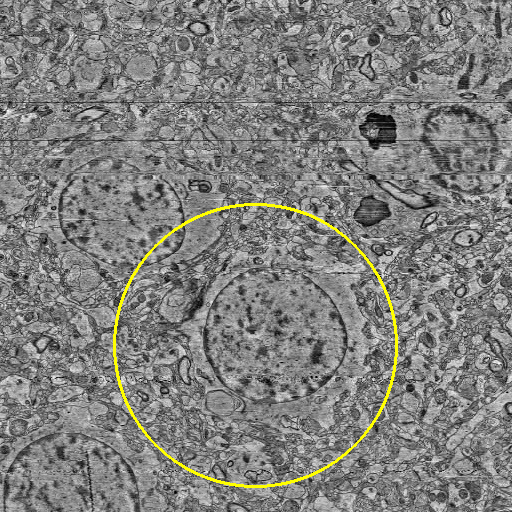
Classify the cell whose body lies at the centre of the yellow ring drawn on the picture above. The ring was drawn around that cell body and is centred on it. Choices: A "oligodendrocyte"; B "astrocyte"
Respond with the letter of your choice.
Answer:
B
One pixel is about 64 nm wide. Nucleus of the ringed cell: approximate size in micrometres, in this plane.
About 9 micrometers across, in this plane.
